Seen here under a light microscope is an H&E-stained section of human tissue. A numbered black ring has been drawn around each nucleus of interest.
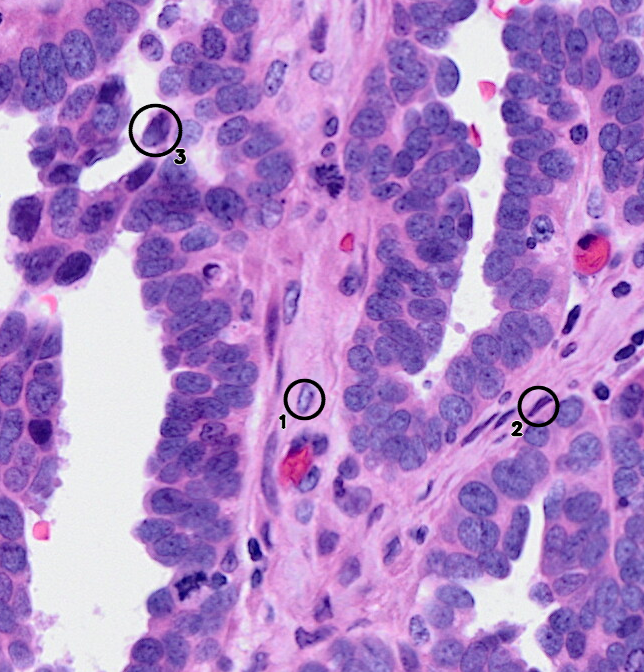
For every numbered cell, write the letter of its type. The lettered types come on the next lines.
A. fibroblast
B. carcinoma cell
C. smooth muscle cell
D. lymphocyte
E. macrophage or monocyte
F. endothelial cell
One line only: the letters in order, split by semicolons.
A; A; B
